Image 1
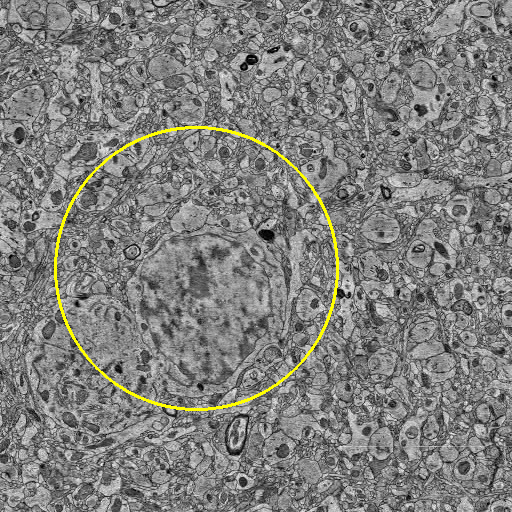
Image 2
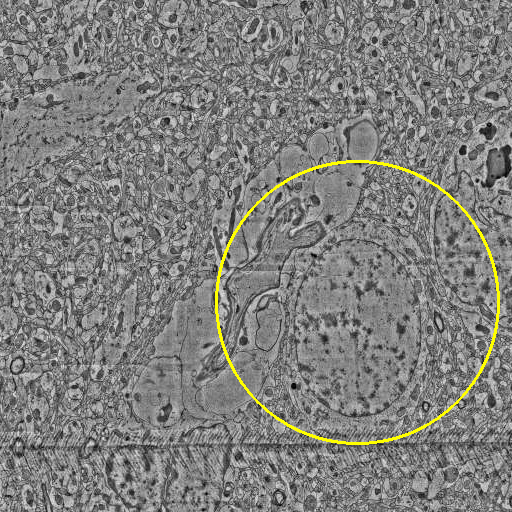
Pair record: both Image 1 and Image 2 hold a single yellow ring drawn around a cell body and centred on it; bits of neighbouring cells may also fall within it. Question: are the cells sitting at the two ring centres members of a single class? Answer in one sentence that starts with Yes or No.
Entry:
No, the ring-centre cells in Image 1 and Image 2 come from two classes.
